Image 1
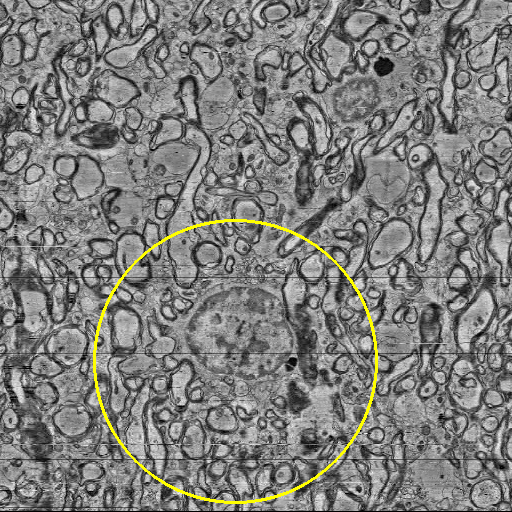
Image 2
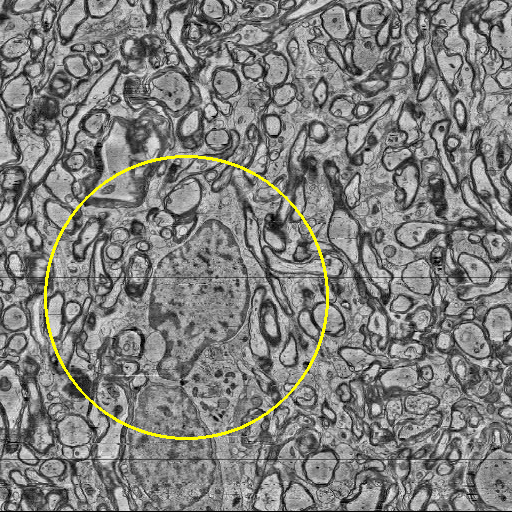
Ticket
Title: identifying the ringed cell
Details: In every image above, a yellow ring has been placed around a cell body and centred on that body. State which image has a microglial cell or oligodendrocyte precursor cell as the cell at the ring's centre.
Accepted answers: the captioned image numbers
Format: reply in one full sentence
The ring in image 2 is centred on the cell in question.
